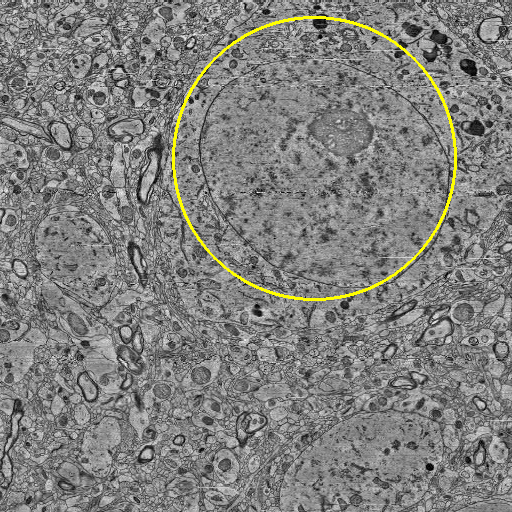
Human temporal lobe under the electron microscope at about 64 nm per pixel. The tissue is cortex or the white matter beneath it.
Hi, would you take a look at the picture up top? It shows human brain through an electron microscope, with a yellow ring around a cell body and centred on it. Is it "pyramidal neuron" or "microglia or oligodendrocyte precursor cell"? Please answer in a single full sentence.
The best fit for the cell in the middle of the ring is a pyramidal neuron, I reckon.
